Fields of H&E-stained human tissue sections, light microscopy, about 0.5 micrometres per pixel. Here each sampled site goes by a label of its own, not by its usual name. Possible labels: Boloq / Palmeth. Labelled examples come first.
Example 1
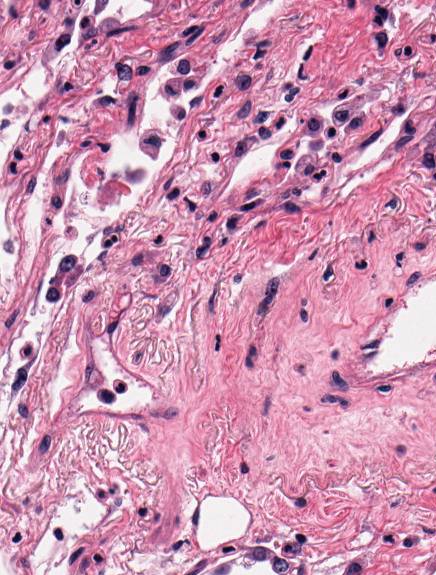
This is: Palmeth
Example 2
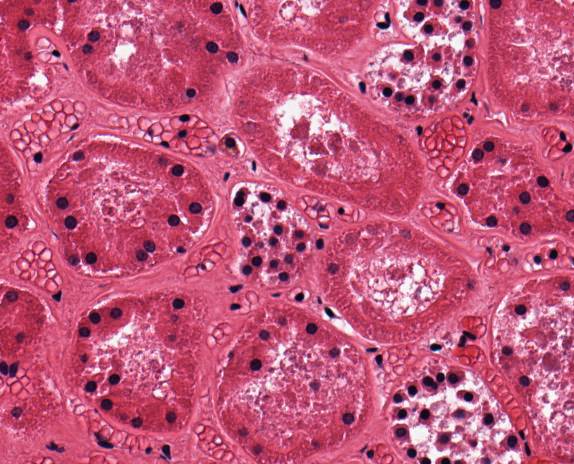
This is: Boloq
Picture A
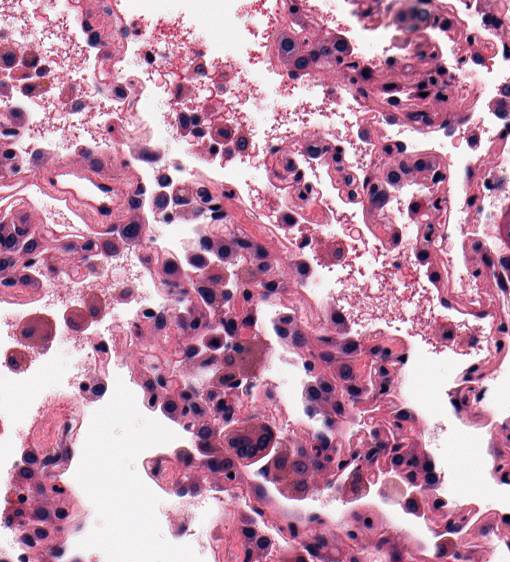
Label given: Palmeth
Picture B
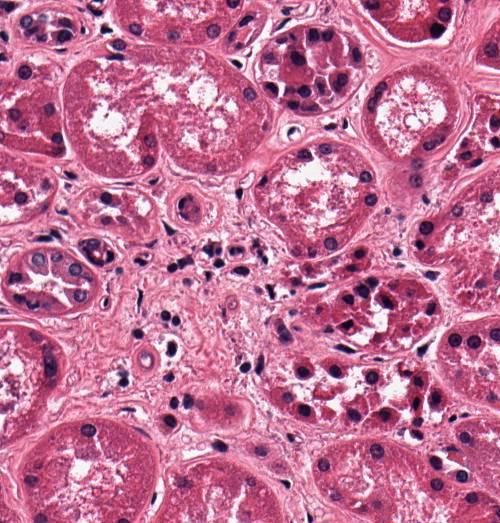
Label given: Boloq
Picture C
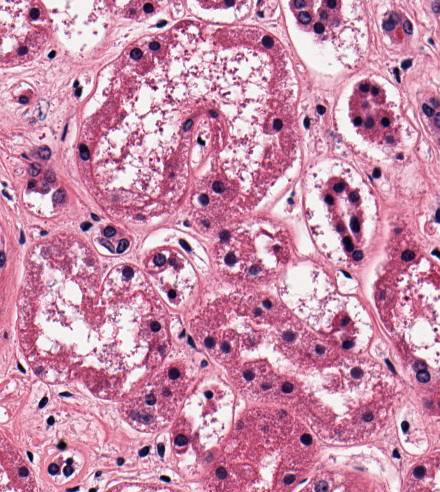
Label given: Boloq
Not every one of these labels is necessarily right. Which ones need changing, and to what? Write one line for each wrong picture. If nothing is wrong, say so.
Every label is right.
